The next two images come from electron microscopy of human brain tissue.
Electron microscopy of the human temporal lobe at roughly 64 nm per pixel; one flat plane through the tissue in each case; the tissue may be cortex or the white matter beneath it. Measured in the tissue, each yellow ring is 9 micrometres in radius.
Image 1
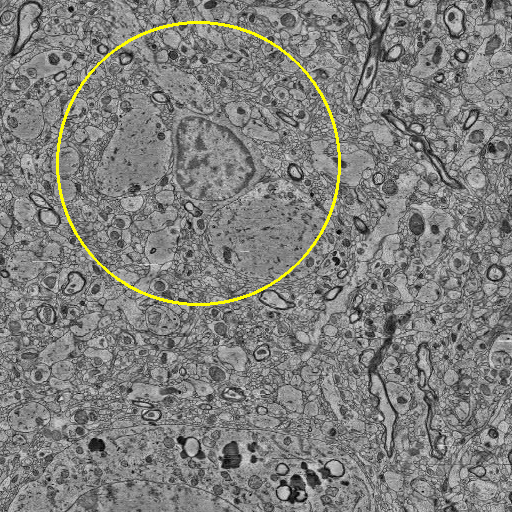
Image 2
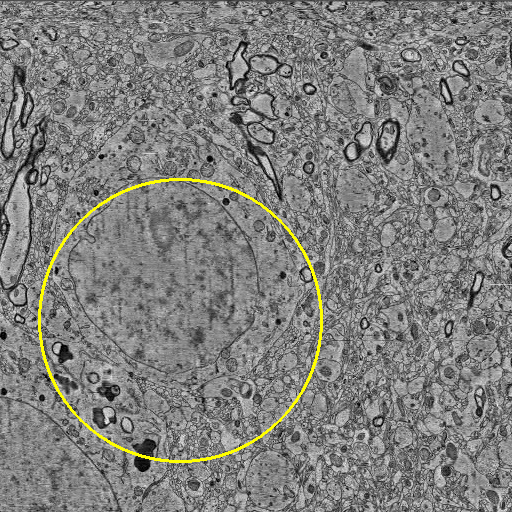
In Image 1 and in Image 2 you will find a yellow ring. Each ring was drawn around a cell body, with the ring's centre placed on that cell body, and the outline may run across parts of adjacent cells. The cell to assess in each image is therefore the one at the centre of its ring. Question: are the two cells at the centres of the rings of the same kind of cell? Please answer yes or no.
no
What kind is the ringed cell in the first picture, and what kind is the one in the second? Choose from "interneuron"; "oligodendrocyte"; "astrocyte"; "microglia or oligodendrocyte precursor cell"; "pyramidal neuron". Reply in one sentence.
The first cell is an oligodendrocyte; the second is a pyramidal neuron.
